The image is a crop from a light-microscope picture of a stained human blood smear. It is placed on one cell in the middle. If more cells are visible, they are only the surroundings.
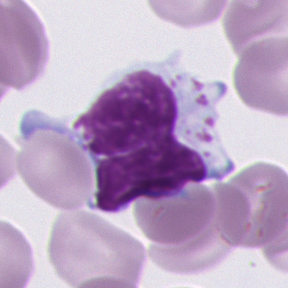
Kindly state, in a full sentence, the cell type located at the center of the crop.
The crop's centre is taken up by a large granular lymphocyte.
